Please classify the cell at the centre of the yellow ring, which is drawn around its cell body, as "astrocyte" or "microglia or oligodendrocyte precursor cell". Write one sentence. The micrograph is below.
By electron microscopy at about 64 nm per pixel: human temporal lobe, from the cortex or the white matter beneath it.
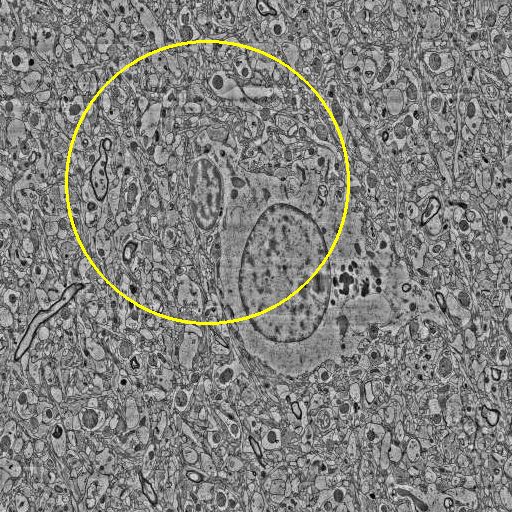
The cell at the ring's centre is classified as a microglial cell or oligodendrocyte precursor cell.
